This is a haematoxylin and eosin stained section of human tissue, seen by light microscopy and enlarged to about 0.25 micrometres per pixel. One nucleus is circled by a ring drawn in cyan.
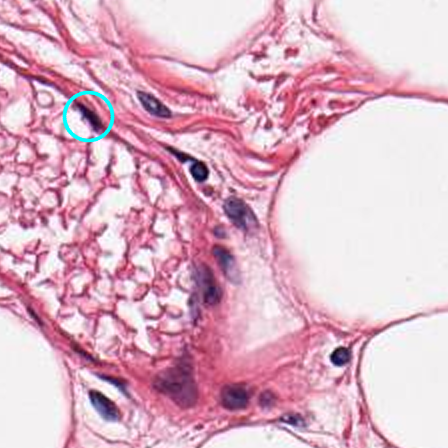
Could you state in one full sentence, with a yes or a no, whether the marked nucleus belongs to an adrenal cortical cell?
No, the marked nucleus is found in a supporting cell instead of in an adrenal cortical cell.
